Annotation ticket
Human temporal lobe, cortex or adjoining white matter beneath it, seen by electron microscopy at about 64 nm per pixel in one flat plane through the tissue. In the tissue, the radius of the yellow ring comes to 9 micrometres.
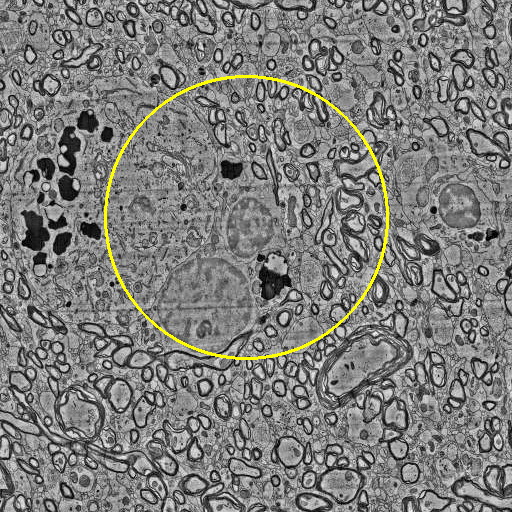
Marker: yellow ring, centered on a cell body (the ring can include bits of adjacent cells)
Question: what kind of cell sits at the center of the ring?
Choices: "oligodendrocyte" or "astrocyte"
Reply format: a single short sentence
The ring is centered on an oligodendrocyte.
